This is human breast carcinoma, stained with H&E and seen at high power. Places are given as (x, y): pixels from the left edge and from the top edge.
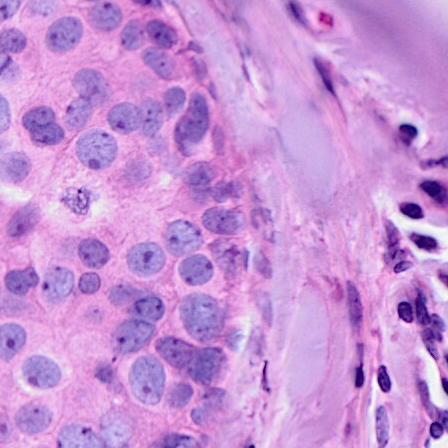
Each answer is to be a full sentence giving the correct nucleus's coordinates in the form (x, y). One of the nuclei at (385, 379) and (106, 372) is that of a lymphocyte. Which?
Between the pair, the nucleus at (385, 379) belongs to a lymphocyte.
